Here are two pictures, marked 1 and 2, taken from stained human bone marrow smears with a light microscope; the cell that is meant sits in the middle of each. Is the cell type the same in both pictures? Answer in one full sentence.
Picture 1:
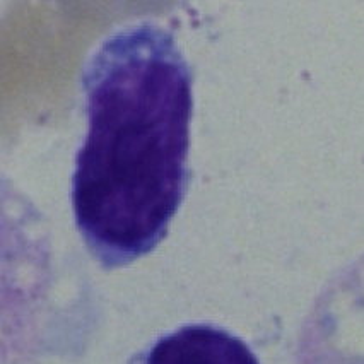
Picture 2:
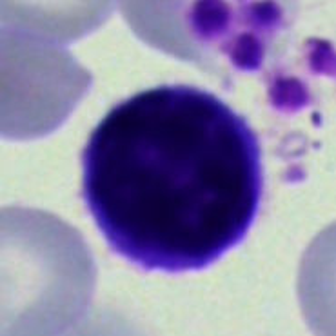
Yes, they are the same type: both are lymphocytes.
